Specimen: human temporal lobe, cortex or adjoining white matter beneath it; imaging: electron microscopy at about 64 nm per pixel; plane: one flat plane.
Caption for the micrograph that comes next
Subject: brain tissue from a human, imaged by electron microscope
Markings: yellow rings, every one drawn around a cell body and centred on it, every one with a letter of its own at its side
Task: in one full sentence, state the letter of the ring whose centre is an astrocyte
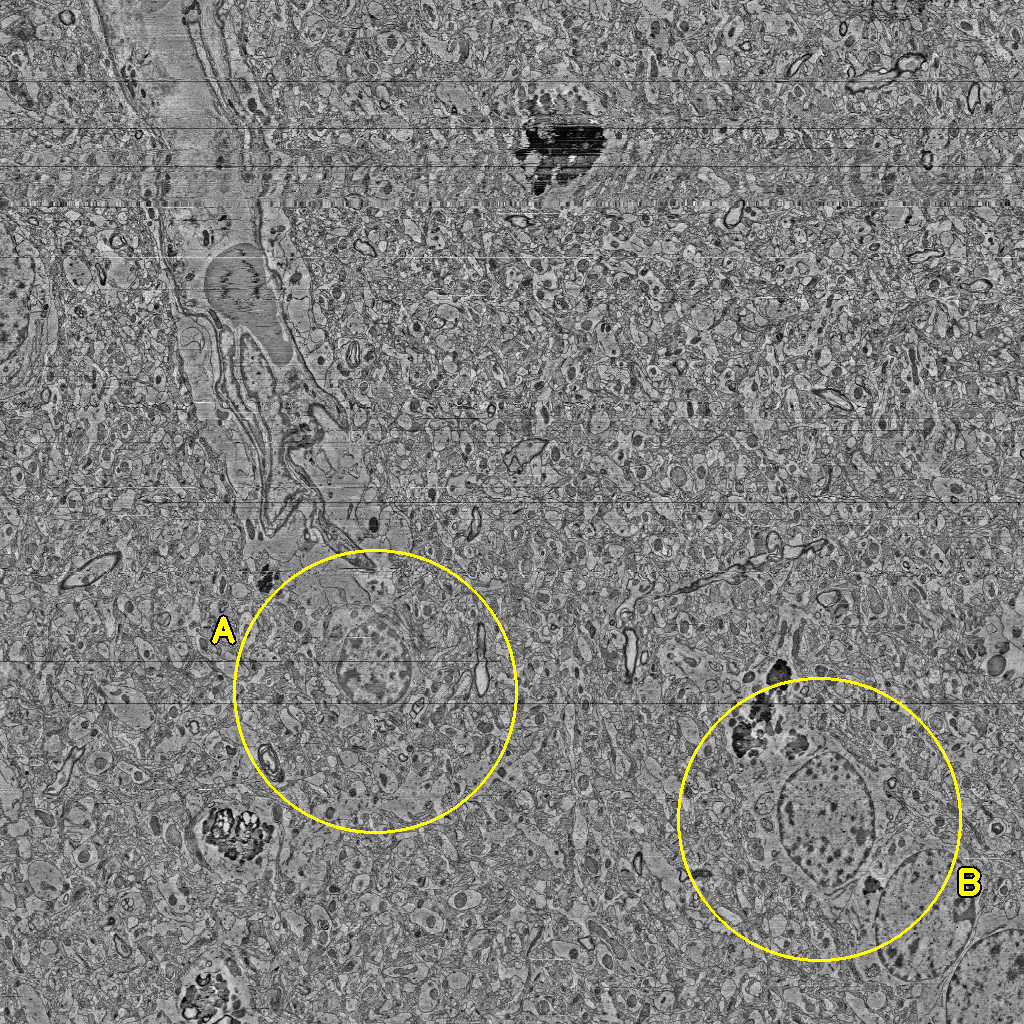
The ring centred on the cell asked for in this micrograph carries the letter B.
